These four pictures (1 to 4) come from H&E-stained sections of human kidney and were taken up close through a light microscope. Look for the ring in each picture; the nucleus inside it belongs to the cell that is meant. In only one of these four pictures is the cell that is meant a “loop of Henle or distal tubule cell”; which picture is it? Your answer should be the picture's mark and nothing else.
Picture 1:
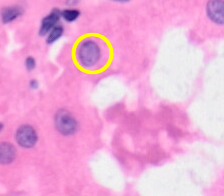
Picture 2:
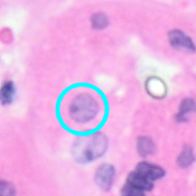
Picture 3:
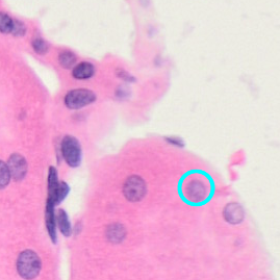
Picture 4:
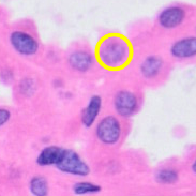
4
